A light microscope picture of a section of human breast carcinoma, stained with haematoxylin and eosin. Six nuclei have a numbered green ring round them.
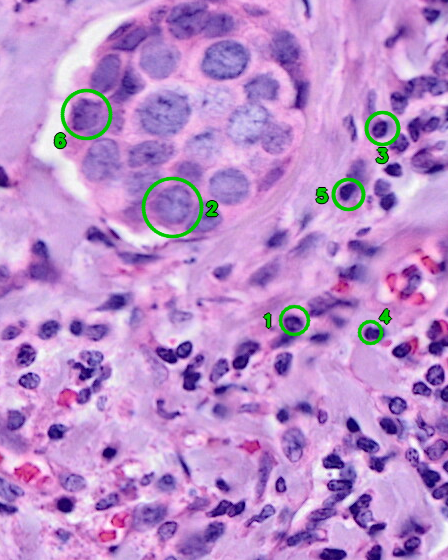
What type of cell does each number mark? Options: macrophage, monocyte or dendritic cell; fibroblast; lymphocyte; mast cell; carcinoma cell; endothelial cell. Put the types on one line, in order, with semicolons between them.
lymphocyte; carcinoma cell; lymphocyte; lymphocyte; lymphocyte; carcinoma cell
